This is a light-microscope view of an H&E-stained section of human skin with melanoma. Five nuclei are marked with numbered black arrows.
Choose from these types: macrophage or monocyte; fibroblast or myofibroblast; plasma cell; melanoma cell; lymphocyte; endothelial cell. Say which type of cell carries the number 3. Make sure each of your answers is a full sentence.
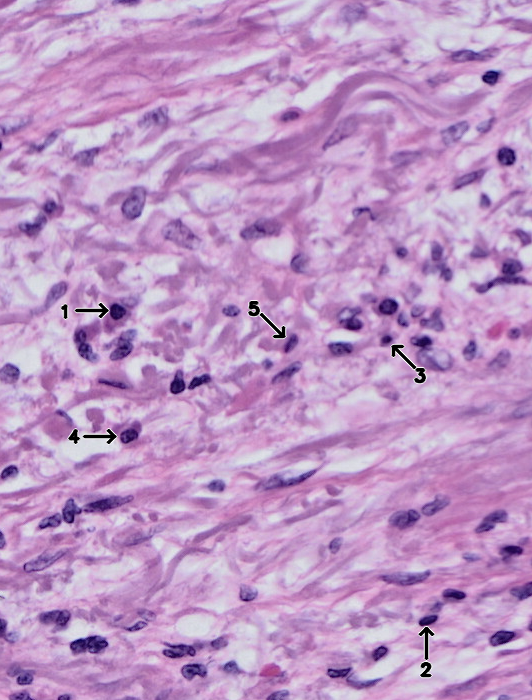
The nucleus labelled 3 belongs to a plasma cell.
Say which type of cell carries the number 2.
The cell given label 2 is a lymphocyte.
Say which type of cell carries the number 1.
Identified by the number 1, the cell is a plasma cell.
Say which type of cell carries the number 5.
The cell indicated by marker 5 is a macrophage or monocyte in this section.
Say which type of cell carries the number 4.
The cell referenced by the number 4 is a plasma cell in this field.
